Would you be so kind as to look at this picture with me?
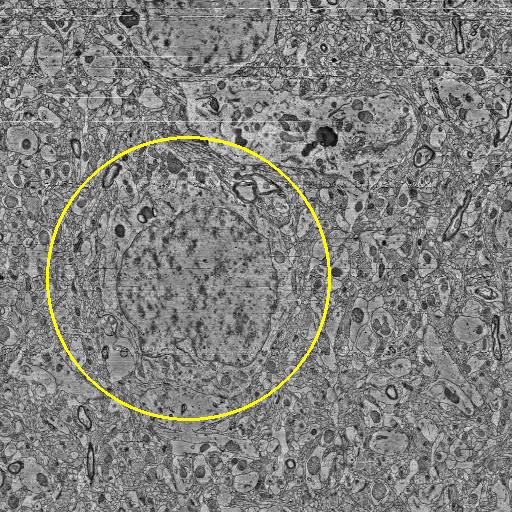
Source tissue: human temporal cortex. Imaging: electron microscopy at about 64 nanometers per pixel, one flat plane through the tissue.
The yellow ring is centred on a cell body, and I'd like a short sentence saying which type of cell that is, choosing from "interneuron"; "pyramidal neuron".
The cell body in the ring belongs to an interneuron.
